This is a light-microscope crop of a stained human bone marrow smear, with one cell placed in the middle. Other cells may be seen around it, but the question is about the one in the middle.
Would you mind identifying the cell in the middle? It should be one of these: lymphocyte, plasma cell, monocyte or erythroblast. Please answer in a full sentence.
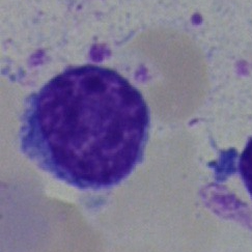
This crop has a lymphocyte at its centre.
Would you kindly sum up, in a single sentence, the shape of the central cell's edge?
The cell outline lacks smoothness, being ragged or extended into projections.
